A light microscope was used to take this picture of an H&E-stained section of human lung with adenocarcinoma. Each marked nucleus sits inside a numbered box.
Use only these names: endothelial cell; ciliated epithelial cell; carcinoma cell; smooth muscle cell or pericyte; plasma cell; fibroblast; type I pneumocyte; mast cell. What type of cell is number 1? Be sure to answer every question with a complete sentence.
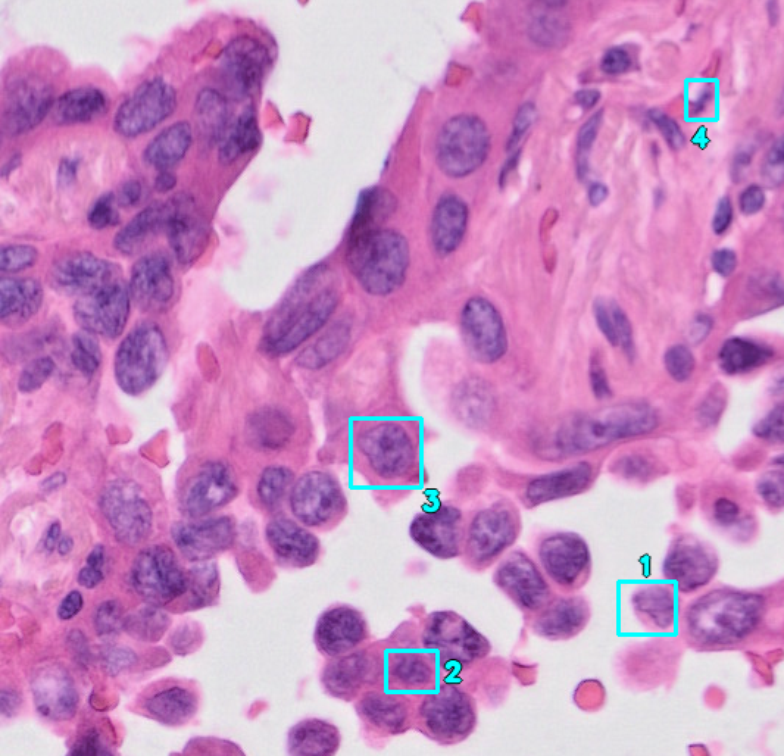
Cell 1, as marked in the section, is a carcinoma cell.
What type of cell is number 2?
Within this field of view, the cell labelled 2 is a carcinoma cell.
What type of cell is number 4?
The mark numbered 4 indicates the nucleus of an endothelial cell.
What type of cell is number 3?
The cell marked with the number 3 is a carcinoma cell.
